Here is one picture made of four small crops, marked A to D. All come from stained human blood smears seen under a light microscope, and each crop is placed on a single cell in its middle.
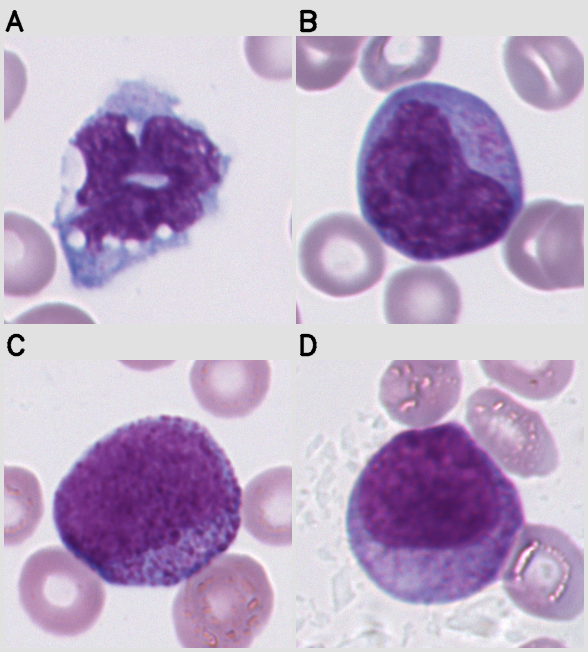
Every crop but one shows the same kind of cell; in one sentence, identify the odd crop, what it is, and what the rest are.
The odd one out is crop A, a monocyte, and all other crops show promyelocytes.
